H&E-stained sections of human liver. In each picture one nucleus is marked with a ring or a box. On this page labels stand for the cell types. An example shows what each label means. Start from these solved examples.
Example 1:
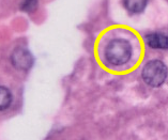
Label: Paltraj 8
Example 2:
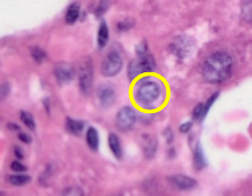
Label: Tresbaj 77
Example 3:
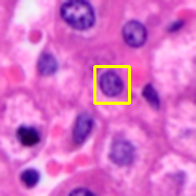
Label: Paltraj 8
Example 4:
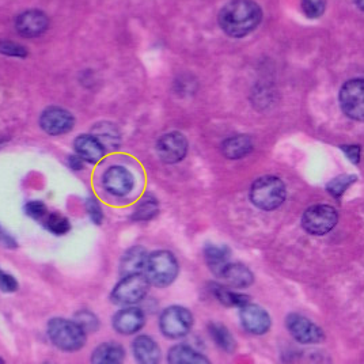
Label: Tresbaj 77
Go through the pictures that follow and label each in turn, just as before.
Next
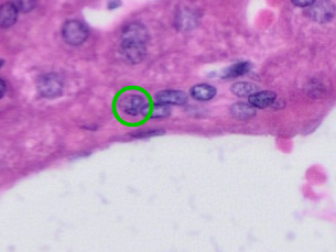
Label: Tresbaj 77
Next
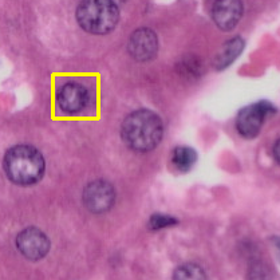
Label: Paltraj 8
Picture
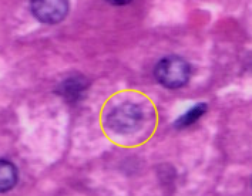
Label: Paltraj 8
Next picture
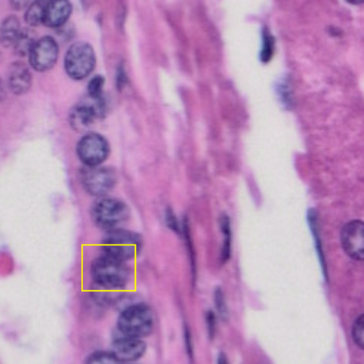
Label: Tresbaj 77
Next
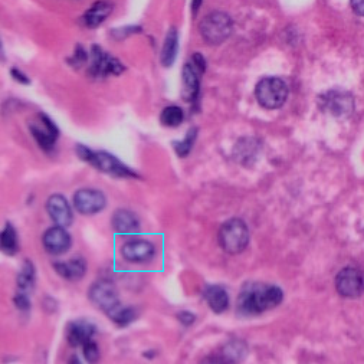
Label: Tresbaj 77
